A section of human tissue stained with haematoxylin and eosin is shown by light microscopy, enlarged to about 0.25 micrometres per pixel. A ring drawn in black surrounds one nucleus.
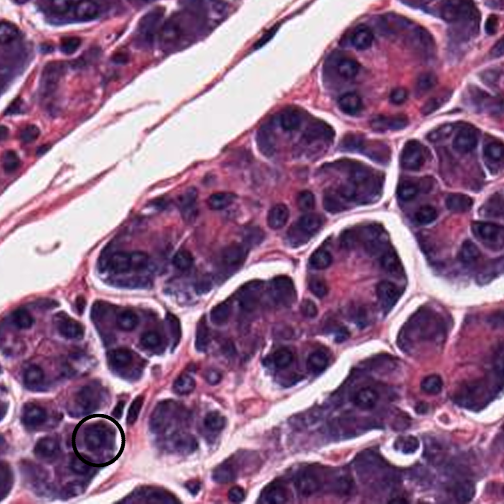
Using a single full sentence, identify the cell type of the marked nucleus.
The marked nucleus is identified as belonging to a pancreatic acinar cell.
